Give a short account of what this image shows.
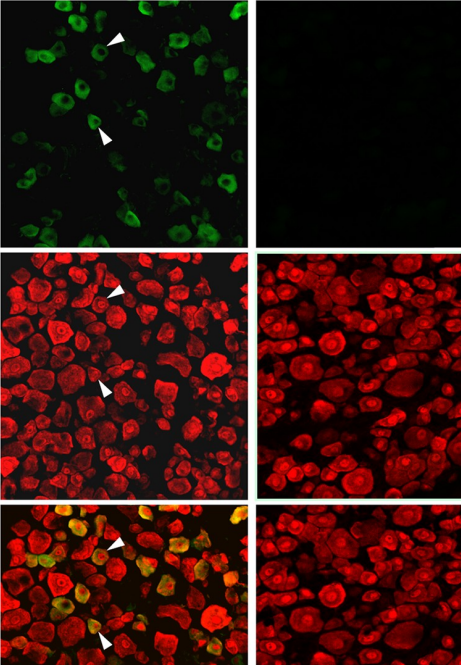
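Sensory ganglion neurons are shown as densely packed round to oval cell bodies of varying diameter, all labelled red in the middle and bottom rows. Many red neurons show a paler or darker round nucleus within the cell body. In the left column, a subset of mostly smaller cell bodies is filled with green signal throughout the cytoplasm, and in the merged image these appear yellow-green while larger neurons stay red. White arrowheads mark two such smaller labelled neurons. In the right column, the green channel is dark, and the merged image shows only red neurons.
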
